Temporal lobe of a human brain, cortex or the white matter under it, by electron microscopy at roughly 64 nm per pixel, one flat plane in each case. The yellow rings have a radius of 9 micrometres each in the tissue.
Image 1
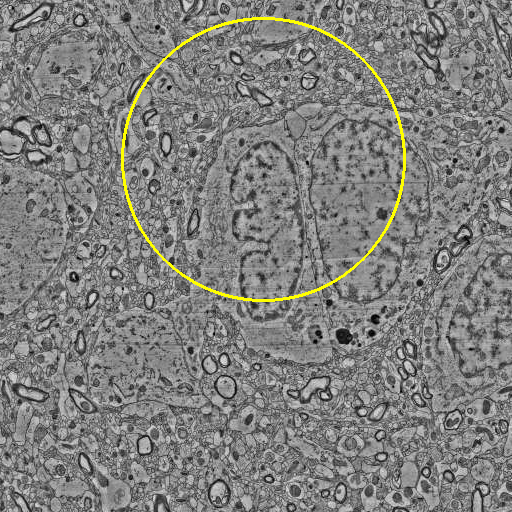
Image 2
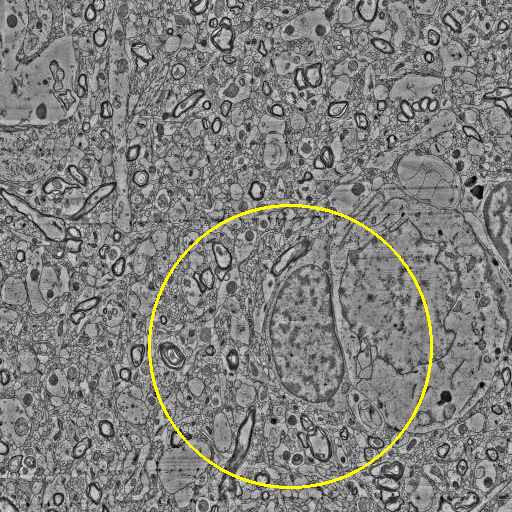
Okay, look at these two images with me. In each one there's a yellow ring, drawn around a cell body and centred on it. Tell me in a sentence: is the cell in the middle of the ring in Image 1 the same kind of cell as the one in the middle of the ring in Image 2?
No, they're two kinds of cell.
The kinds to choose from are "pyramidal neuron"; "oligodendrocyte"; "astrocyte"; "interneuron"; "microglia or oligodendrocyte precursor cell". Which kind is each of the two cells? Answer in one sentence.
Of the two, the first cell is a microglial cell or oligodendrocyte precursor cell and the second cell is an oligodendrocyte.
